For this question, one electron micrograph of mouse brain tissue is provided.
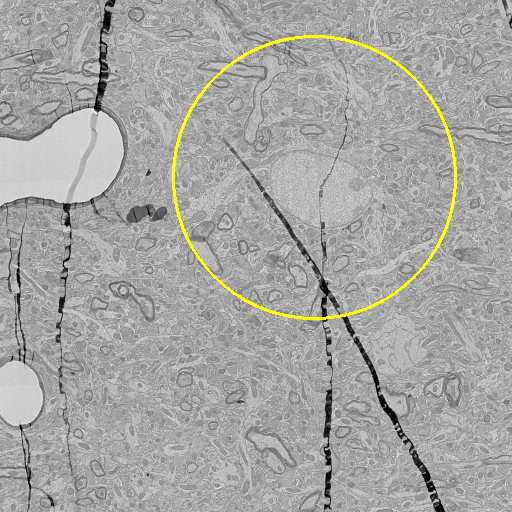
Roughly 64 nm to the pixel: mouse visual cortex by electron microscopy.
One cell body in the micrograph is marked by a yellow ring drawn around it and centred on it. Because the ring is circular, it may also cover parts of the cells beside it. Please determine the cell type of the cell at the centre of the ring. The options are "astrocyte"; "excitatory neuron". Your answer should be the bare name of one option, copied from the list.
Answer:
astrocyte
